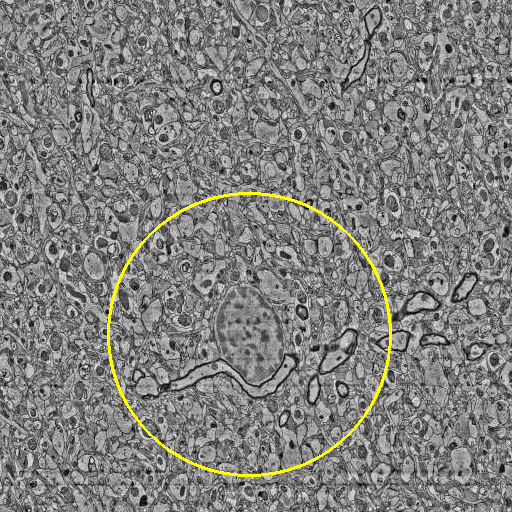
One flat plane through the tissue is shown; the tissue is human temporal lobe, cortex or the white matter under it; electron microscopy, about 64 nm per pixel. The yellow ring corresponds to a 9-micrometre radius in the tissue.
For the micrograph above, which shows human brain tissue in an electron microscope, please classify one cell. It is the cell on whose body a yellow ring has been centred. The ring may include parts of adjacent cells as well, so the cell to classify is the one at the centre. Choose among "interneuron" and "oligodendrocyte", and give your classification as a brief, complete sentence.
I classify this cell as an oligodendrocyte.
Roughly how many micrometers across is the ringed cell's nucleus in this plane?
In this plane, approximately 6 by 4 micrometers, and clearly longer than it is wide.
